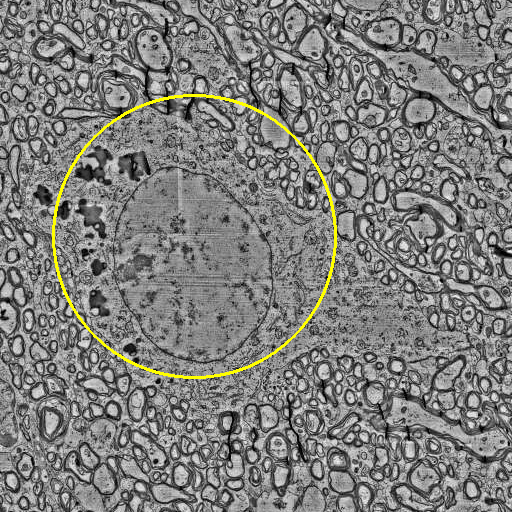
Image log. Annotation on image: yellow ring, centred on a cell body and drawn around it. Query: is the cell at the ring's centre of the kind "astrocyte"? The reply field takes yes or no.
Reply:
no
